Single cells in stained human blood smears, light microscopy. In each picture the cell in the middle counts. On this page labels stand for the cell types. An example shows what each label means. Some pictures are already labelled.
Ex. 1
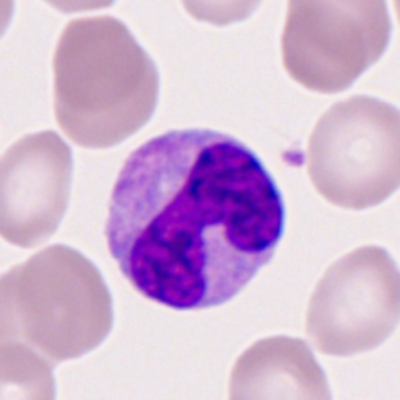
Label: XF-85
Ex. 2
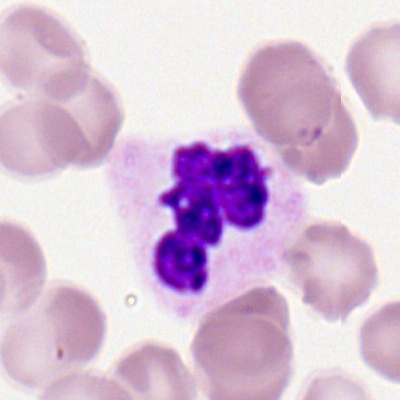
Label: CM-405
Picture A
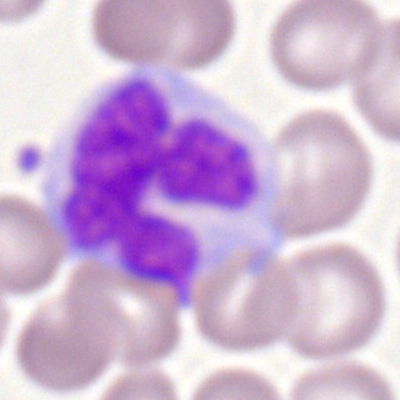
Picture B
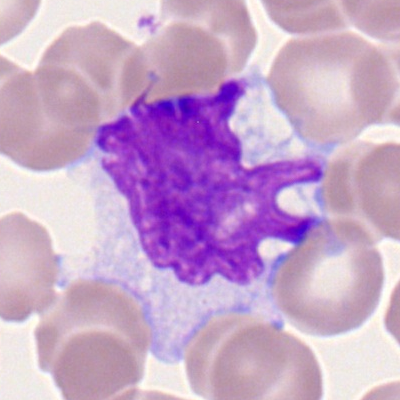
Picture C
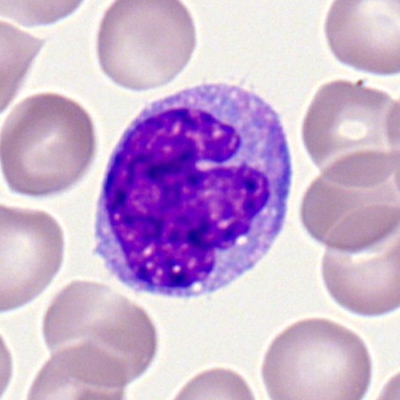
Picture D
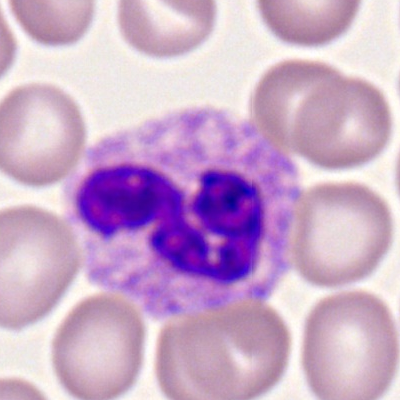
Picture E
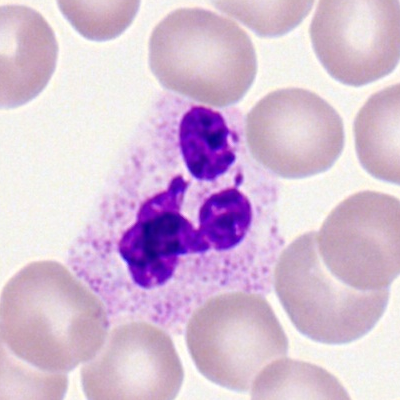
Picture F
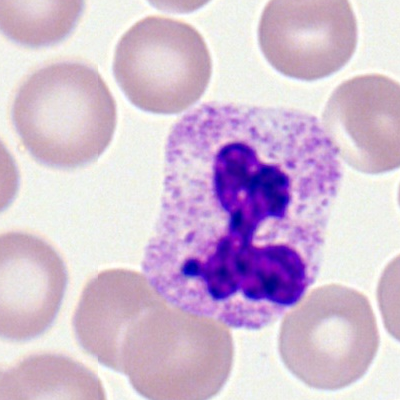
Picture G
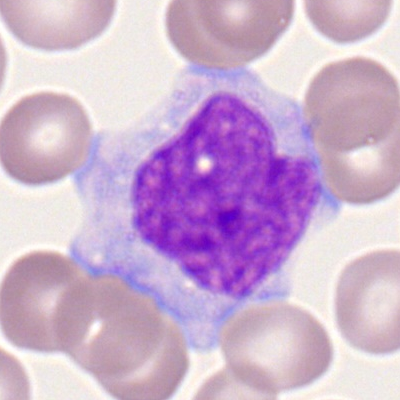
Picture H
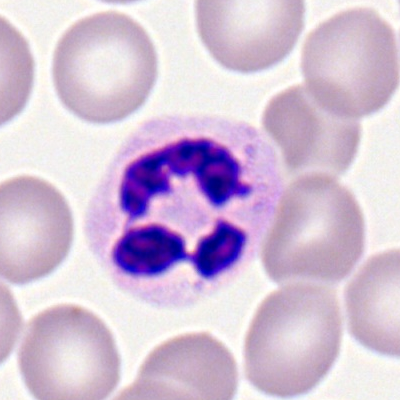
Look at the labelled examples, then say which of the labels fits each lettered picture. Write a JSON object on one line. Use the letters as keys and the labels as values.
{"A": "XF-85", "B": "XF-85", "C": "XF-85", "D": "CM-405", "E": "CM-405", "F": "CM-405", "G": "XF-85", "H": "CM-405"}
